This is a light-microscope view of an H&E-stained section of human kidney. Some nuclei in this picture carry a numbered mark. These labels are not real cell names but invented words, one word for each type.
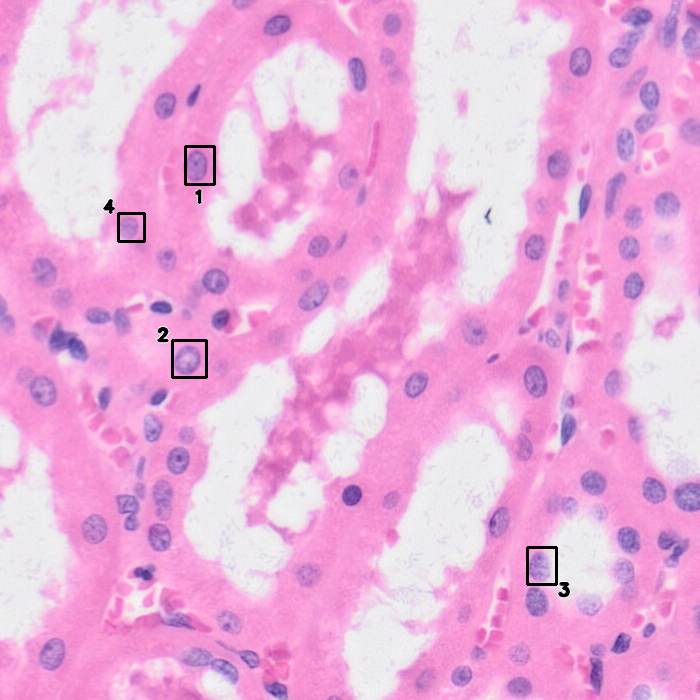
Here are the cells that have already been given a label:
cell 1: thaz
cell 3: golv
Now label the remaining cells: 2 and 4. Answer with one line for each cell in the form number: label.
2: thaz
4: thaz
